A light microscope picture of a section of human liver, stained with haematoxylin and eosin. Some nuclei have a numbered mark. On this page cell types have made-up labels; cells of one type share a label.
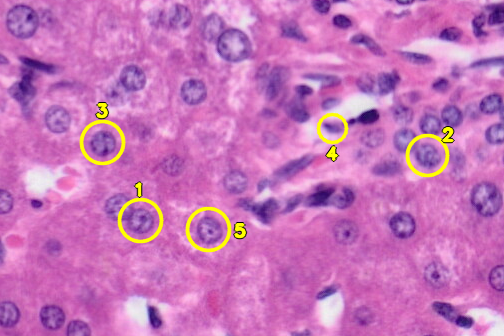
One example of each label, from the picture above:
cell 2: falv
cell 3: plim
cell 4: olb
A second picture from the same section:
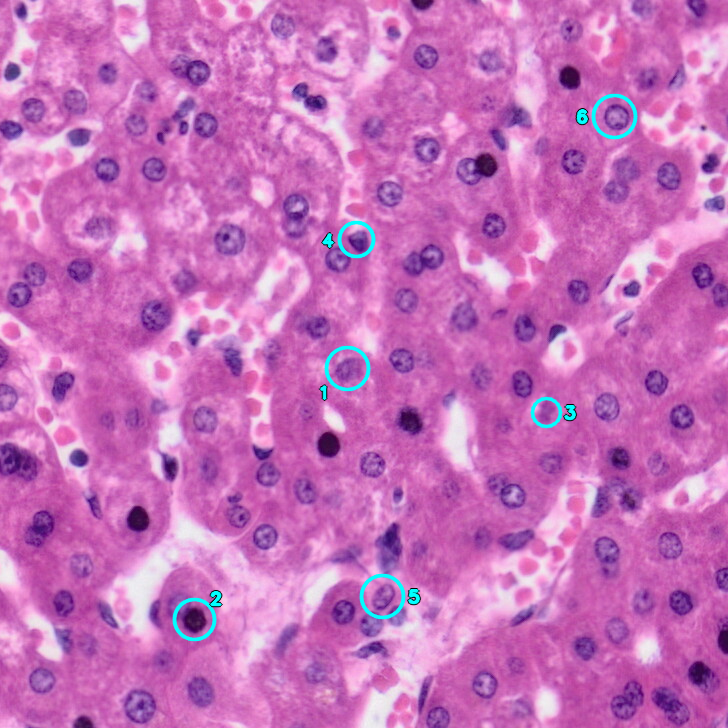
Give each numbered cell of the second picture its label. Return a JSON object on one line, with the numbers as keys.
{"1": "plim", "2": "plim", "3": "plim", "4": "olb", "5": "falv", "6": "plim"}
